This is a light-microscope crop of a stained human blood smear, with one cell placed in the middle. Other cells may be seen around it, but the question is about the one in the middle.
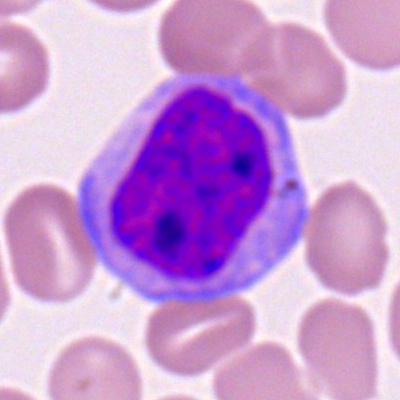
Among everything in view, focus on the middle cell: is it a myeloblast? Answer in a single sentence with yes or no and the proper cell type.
No, the central cell is not to be called a myeloblast, being a monocyte.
